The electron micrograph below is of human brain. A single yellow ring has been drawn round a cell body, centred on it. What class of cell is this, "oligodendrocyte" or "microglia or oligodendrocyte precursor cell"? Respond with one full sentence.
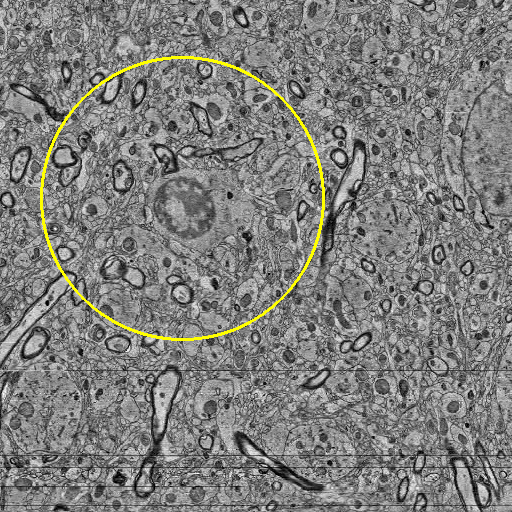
In the micrograph, the cell centred inside the yellow ring is an oligodendrocyte.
